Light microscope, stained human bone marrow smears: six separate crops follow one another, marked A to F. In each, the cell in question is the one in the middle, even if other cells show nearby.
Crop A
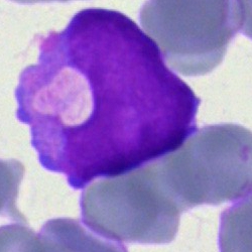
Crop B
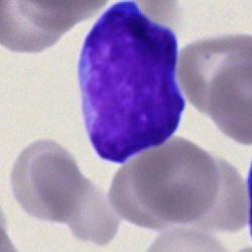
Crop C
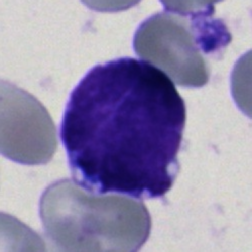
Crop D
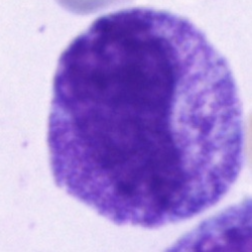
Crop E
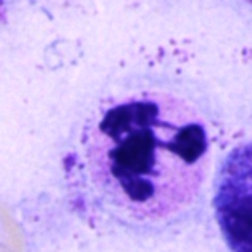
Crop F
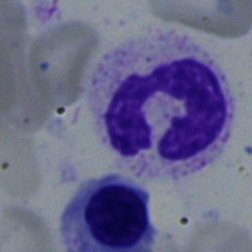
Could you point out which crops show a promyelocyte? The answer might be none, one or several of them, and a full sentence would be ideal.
Crop D is the lone crop showing a promyelocyte.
